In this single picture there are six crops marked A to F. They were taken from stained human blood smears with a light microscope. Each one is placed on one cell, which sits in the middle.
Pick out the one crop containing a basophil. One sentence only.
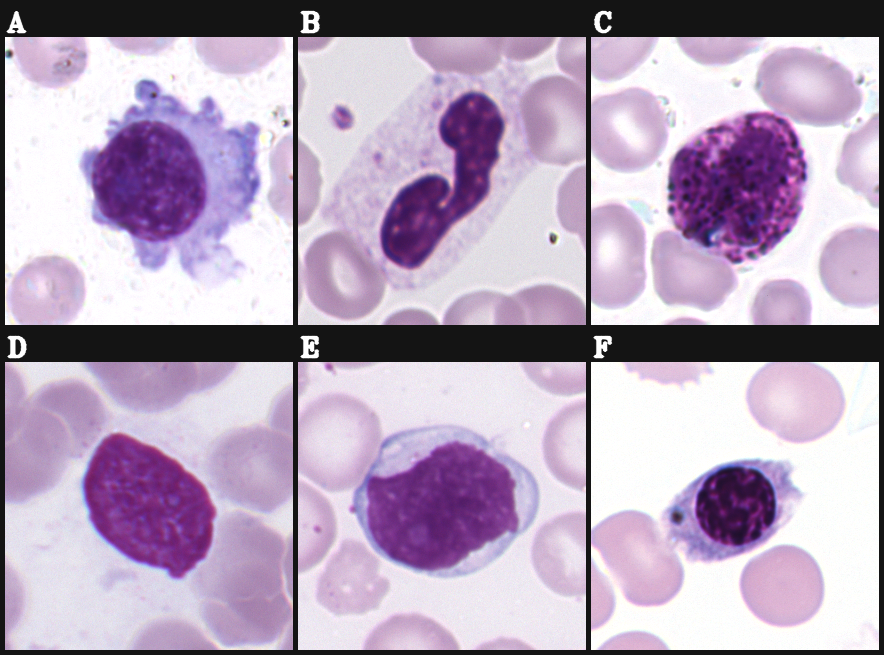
The requested cell, a basophil, is the one in crop C.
